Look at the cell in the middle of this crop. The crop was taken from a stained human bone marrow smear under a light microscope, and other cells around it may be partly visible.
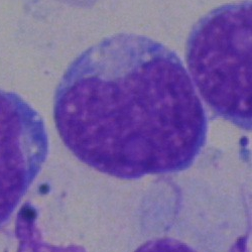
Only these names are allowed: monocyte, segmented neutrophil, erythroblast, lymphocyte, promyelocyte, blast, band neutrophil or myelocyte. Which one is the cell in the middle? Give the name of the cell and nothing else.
blast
